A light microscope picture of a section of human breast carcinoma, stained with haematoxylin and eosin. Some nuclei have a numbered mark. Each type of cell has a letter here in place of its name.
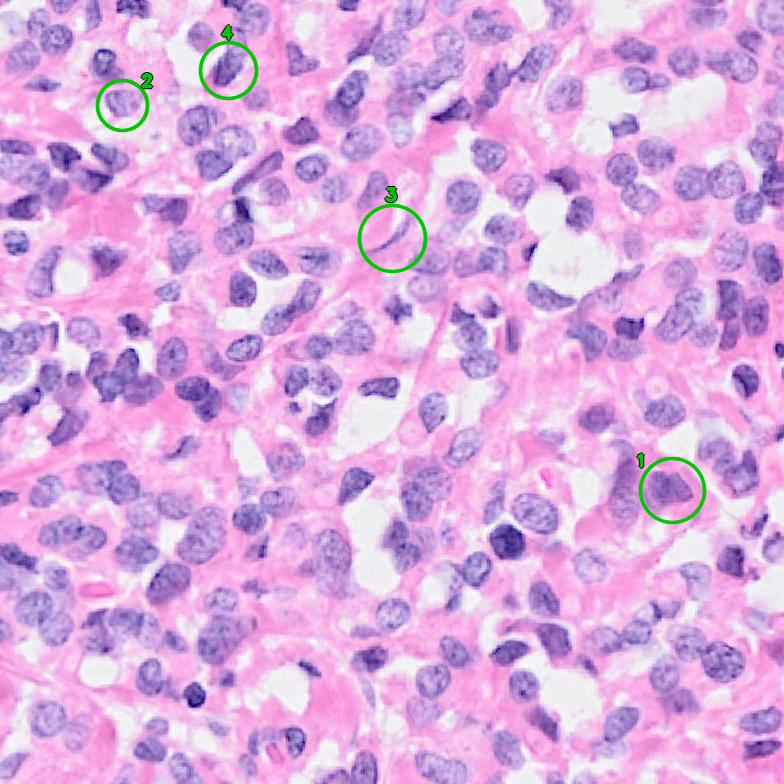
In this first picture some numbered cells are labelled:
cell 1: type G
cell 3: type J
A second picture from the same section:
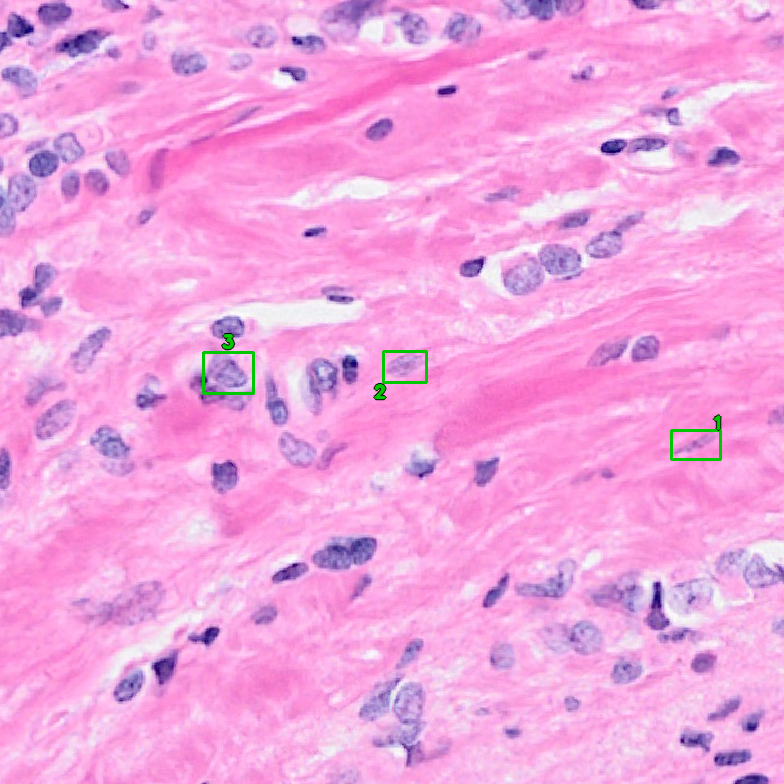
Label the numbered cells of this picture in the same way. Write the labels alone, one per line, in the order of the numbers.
type J
type J
type G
